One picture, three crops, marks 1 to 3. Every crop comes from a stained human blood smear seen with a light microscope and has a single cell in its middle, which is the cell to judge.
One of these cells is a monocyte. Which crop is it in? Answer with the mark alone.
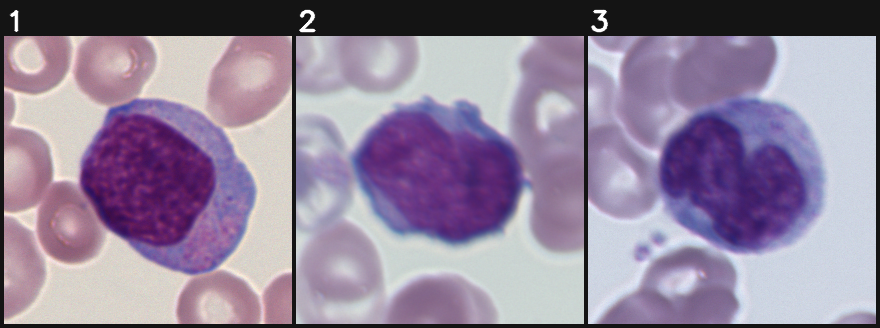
3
